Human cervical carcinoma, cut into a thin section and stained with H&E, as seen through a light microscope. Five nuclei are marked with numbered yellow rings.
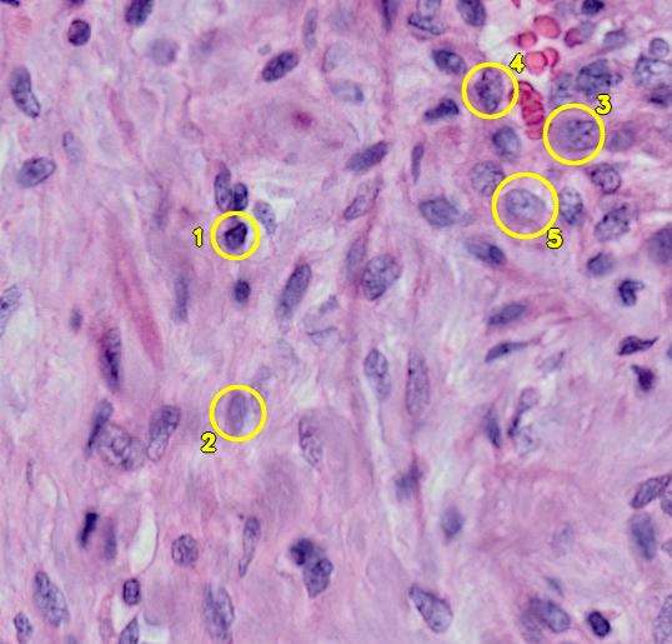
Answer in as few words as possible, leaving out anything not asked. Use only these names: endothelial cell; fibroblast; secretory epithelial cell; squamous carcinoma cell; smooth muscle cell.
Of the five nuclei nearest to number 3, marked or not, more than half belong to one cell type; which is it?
endothelial cell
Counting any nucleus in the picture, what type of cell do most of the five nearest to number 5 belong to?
endothelial cell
